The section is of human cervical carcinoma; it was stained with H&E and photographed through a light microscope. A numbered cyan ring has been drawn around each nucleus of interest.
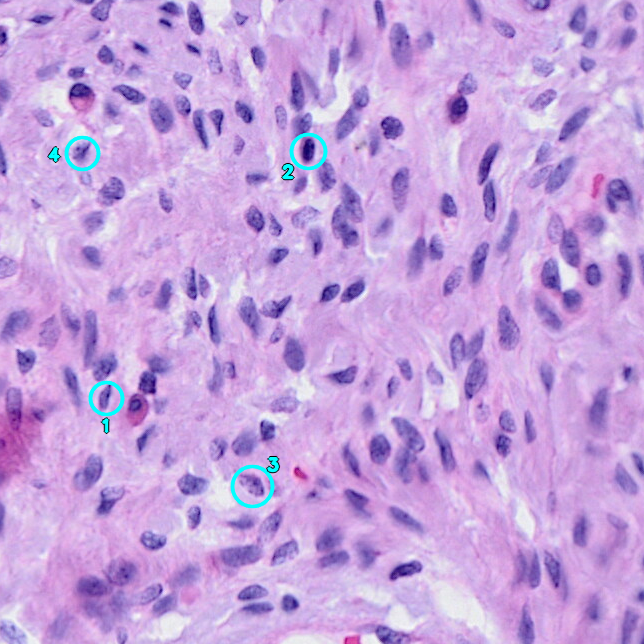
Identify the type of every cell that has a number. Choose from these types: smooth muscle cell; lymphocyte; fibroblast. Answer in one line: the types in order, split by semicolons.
fibroblast; lymphocyte; fibroblast; fibroblast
